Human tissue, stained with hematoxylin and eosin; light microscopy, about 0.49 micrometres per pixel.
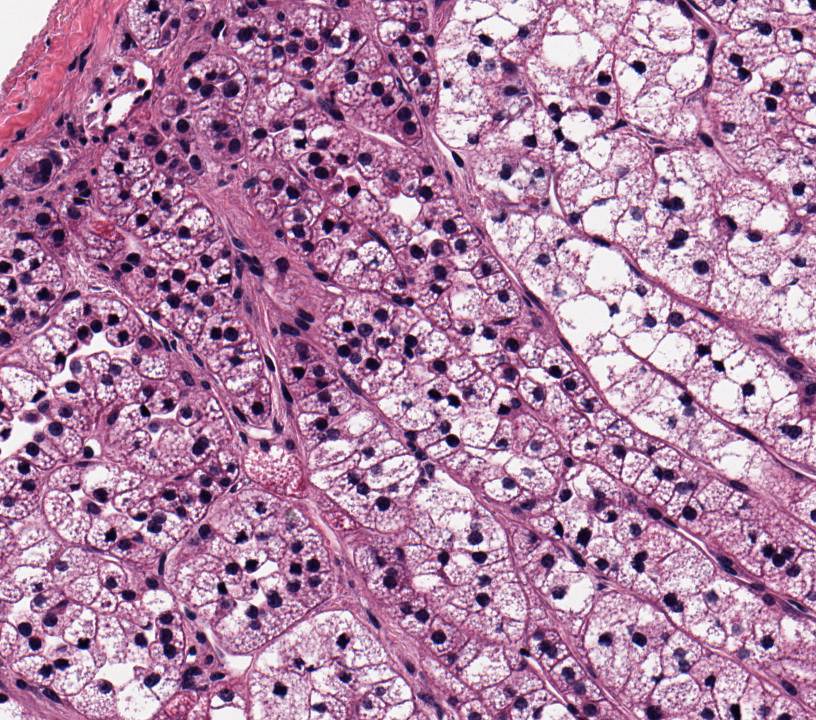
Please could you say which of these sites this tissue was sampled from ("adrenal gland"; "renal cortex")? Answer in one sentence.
The site this tissue was sampled from is the adrenal gland.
